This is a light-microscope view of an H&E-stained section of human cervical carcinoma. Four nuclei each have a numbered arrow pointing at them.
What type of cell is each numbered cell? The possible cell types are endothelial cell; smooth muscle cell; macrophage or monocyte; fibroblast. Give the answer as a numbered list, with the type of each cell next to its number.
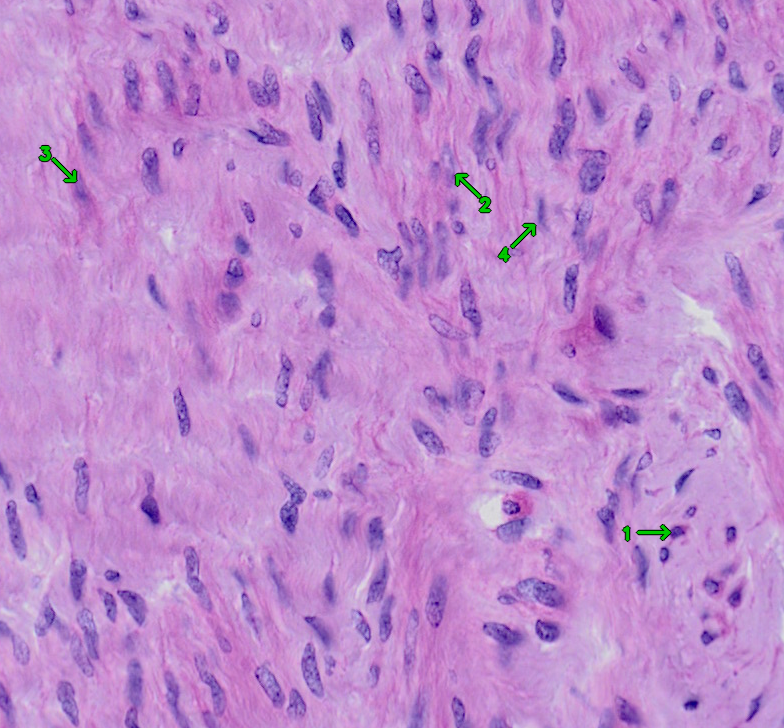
1. smooth muscle cell
2. smooth muscle cell
3. smooth muscle cell
4. fibroblast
